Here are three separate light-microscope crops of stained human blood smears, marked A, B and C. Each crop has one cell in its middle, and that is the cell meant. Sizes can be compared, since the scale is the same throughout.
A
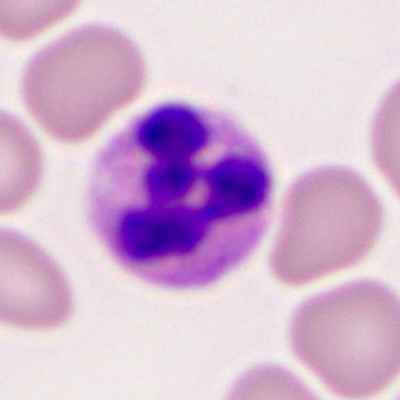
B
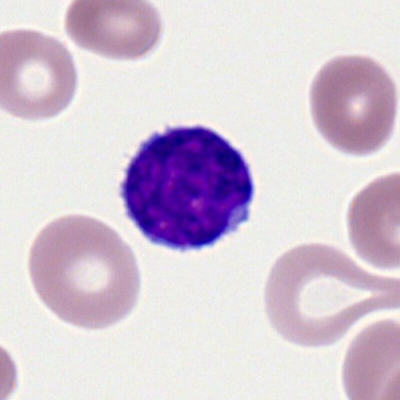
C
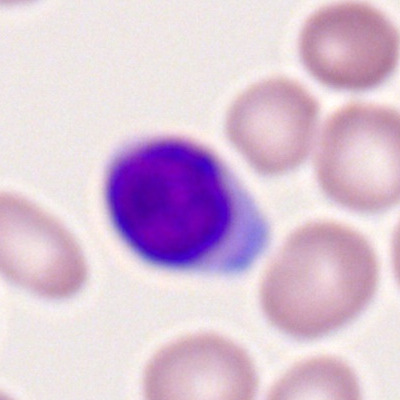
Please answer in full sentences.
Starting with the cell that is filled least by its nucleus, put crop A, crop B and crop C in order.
The least filled comes first: A, C, B.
